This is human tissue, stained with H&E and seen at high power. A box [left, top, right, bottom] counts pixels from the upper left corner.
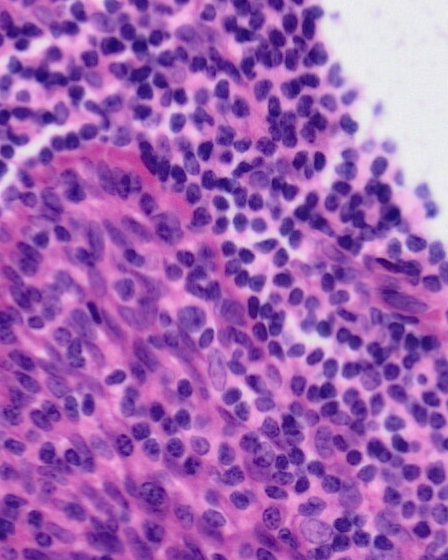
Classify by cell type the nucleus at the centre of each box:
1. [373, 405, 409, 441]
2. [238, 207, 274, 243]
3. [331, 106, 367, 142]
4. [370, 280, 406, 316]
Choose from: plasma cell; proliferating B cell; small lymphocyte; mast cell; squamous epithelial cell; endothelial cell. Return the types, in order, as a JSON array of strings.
["small lymphocyte", "small lymphocyte", "small lymphocyte", "endothelial cell"]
